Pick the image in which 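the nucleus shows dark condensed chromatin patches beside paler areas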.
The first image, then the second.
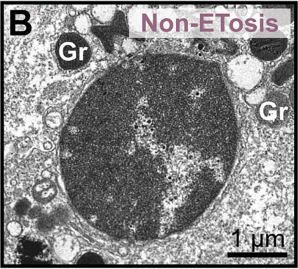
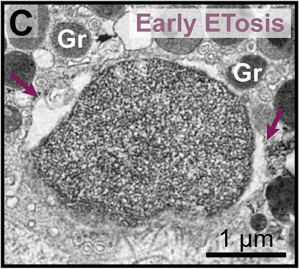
The first image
